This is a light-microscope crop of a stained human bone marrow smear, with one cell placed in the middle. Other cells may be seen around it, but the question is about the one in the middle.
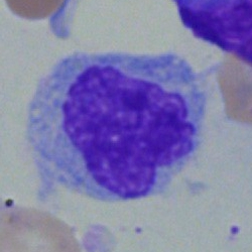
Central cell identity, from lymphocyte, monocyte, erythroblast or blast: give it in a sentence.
The cell the crop is centered on is a monocyte.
